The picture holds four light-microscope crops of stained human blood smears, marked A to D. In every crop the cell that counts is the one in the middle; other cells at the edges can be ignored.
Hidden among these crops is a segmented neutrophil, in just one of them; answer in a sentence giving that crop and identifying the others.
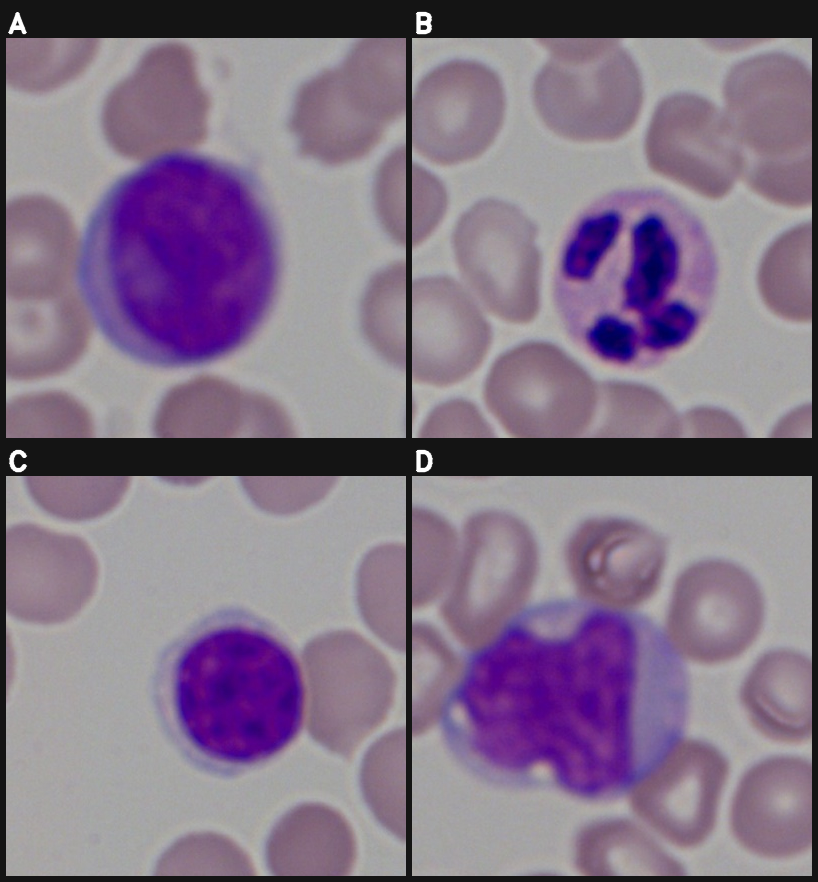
Crop B shows a segmented neutrophil, and as for the other crops, crop A is a myeloblast, crop C is a lymphocyte and crop D is a monocyte.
